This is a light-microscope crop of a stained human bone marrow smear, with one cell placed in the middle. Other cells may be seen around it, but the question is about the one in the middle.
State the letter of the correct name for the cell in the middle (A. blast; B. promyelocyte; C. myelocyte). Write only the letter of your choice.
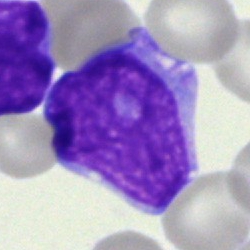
A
